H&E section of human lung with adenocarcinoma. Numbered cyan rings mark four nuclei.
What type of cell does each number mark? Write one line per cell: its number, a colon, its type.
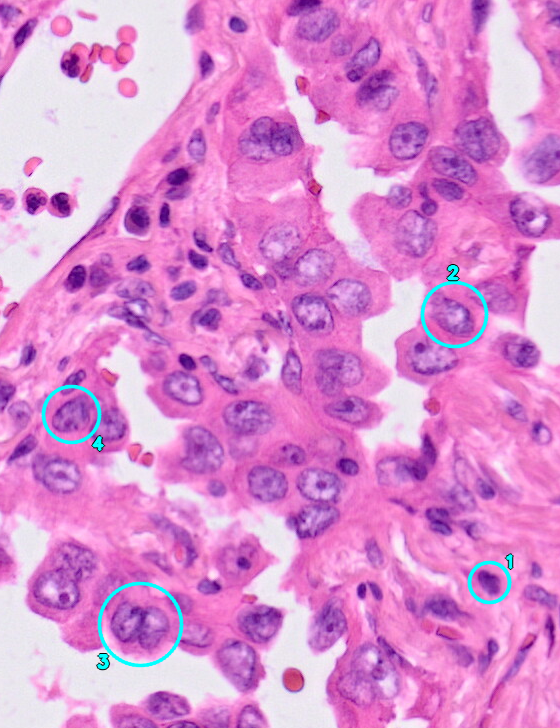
1: plasma cell
2: carcinoma cell
3: carcinoma cell
4: carcinoma cell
